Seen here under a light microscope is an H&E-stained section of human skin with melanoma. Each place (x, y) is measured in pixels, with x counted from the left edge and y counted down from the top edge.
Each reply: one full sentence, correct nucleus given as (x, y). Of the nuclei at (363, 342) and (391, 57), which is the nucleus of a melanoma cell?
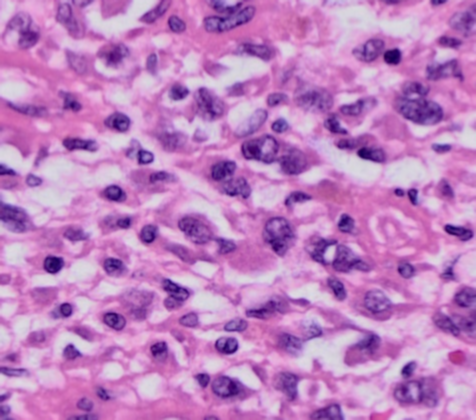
Here the nucleus at (363, 342) is the one that belongs to a melanoma cell.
